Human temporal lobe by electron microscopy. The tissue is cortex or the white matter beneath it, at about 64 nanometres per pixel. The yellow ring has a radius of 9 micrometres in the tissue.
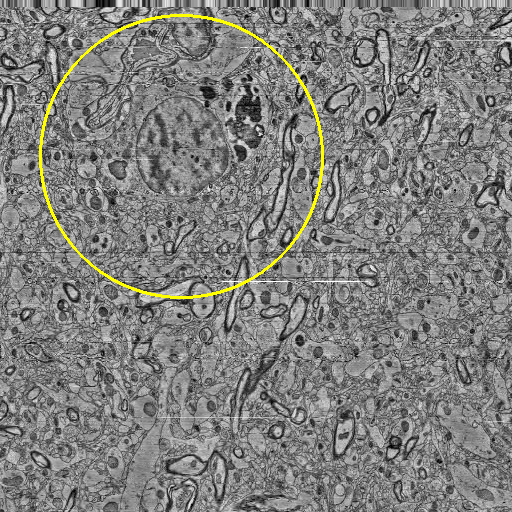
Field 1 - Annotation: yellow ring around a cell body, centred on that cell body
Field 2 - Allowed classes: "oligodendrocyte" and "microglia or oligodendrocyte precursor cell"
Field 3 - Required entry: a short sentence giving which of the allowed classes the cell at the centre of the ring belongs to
The centred cell is an oligodendrocyte.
